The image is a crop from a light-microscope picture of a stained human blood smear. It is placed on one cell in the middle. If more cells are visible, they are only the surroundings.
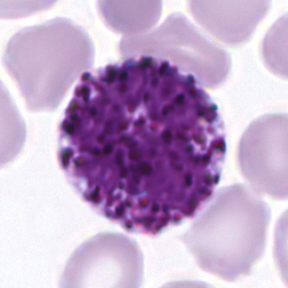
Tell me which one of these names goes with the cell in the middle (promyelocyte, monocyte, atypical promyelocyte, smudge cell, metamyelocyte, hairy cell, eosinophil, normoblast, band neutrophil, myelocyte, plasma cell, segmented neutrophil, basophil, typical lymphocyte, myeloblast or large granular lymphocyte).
basophil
